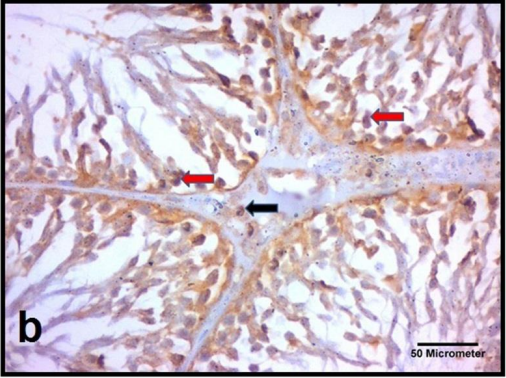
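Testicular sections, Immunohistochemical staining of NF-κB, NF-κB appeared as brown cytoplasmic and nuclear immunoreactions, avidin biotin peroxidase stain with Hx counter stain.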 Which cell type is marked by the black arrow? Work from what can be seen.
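The arrow points to the triangular interstitial space where several tubules meet. The marked cells lie outside the tubule boundaries.
Conclusion: interstitial cells of Leydig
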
